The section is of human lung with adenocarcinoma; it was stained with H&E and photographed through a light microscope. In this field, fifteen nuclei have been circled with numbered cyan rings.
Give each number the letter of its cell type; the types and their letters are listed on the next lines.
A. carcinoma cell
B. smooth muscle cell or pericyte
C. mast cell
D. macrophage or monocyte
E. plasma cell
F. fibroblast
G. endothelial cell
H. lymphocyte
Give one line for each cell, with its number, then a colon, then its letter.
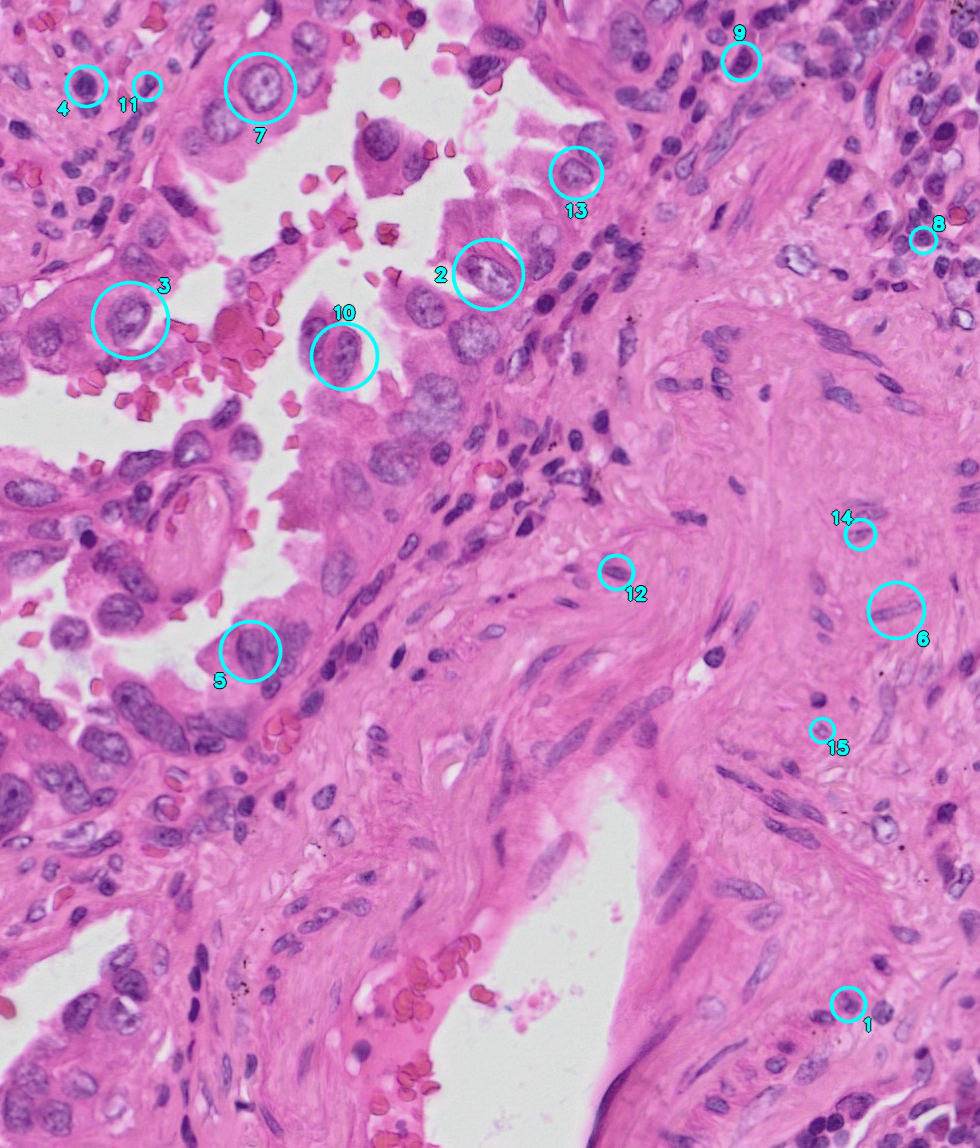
1: B
2: A
3: A
4: H
5: A
6: B
7: A
8: H
9: E
10: A
11: H
12: B
13: A
14: B
15: B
